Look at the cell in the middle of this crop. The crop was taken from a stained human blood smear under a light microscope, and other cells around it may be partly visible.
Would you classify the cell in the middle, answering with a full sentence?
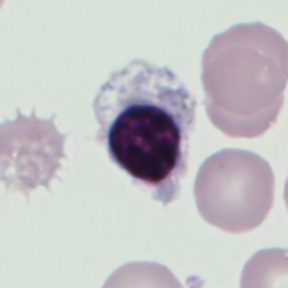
As for the cell in the middle, it is a normoblast.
